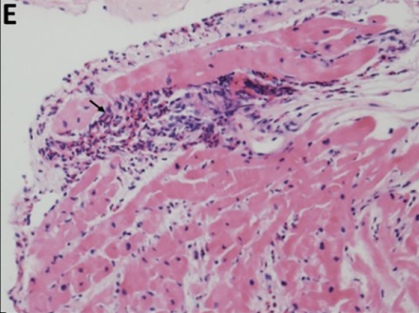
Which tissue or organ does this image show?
Myocardial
